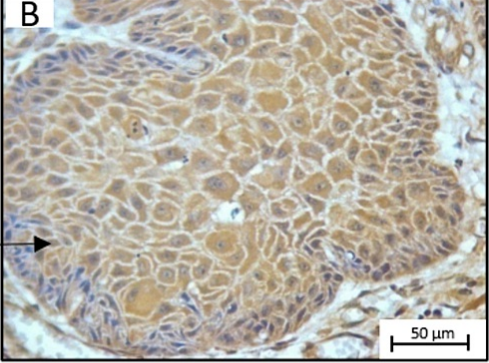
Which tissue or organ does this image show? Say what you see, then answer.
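Nest of polygonal squamous cells with distinct cell borders. Nuclei vary in size and shape. Nest sits in loose stroma.
Conclusion: Neoplastic epithelium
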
